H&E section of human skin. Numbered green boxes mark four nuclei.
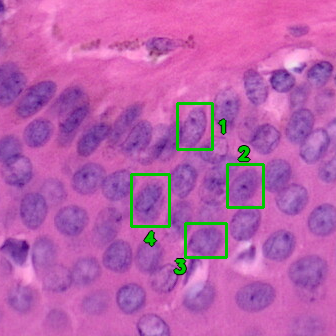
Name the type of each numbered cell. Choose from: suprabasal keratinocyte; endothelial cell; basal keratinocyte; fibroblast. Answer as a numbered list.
1. basal keratinocyte
2. suprabasal keratinocyte
3. suprabasal keratinocyte
4. suprabasal keratinocyte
